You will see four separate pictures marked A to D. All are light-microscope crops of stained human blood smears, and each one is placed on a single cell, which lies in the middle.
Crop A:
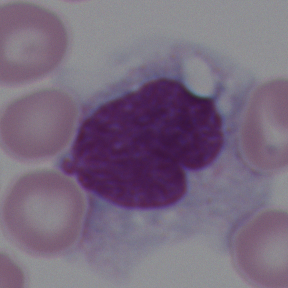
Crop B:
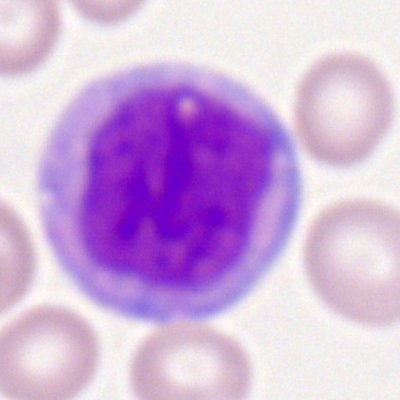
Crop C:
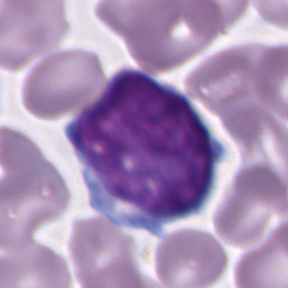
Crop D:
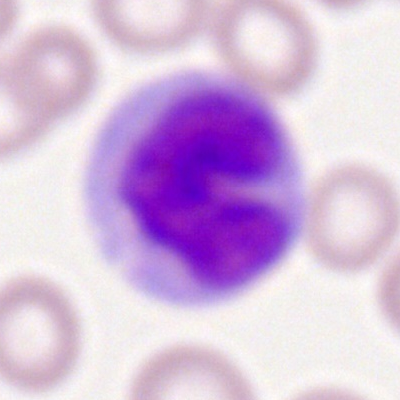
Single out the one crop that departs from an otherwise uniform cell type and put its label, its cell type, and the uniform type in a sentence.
The cells centred in the other crops are all monocytes, but crop C is a blast.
